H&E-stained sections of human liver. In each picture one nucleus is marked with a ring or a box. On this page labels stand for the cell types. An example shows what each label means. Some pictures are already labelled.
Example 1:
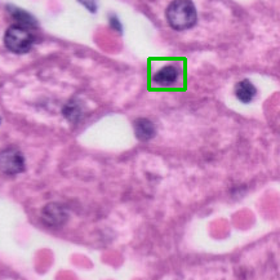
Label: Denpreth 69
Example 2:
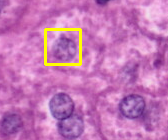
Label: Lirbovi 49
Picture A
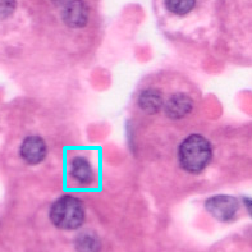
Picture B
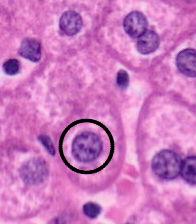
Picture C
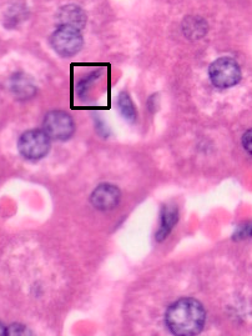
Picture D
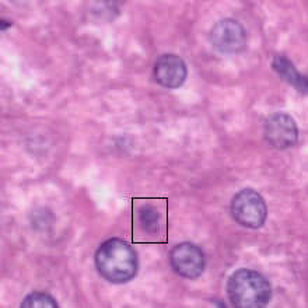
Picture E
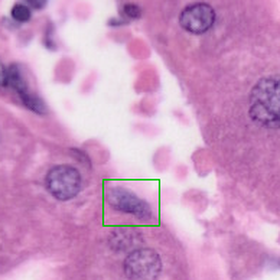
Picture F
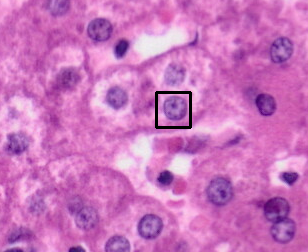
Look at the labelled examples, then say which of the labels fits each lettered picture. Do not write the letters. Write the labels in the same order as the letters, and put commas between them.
Denpreth 69, Lirbovi 49, Denpreth 69, Denpreth 69, Denpreth 69, Lirbovi 49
